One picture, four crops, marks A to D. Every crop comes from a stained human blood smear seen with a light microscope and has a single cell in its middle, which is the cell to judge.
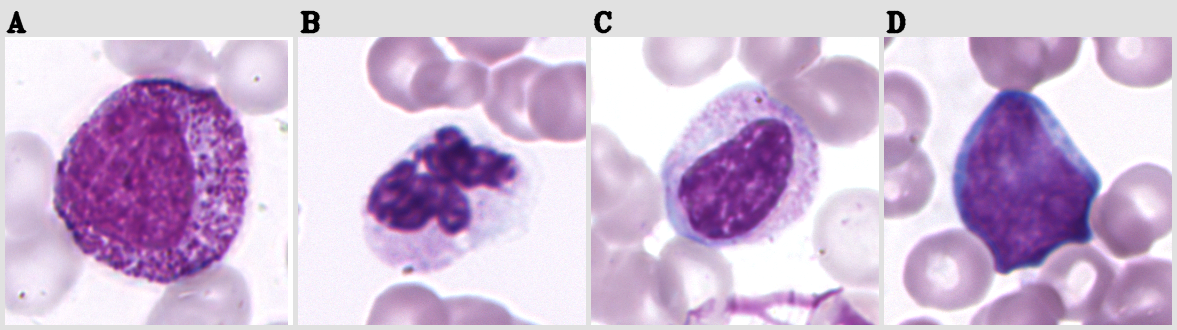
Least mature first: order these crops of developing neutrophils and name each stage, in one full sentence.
By stage of maturation, from earliest to latest, the order is crop D (a myeloblast), crop A (a promyelocyte), crop C (a metamyelocyte) and crop B (a segmented neutrophil).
